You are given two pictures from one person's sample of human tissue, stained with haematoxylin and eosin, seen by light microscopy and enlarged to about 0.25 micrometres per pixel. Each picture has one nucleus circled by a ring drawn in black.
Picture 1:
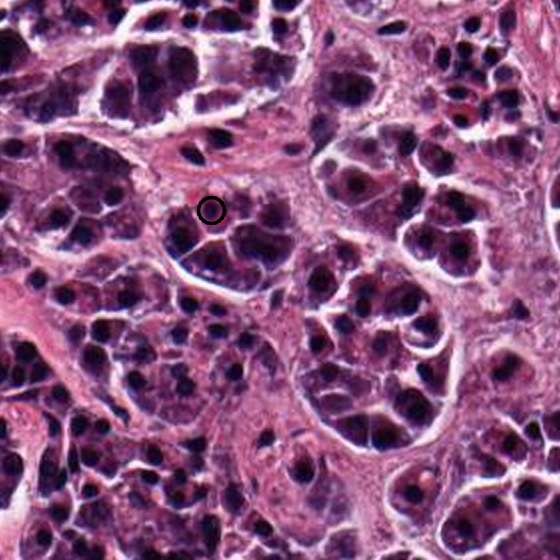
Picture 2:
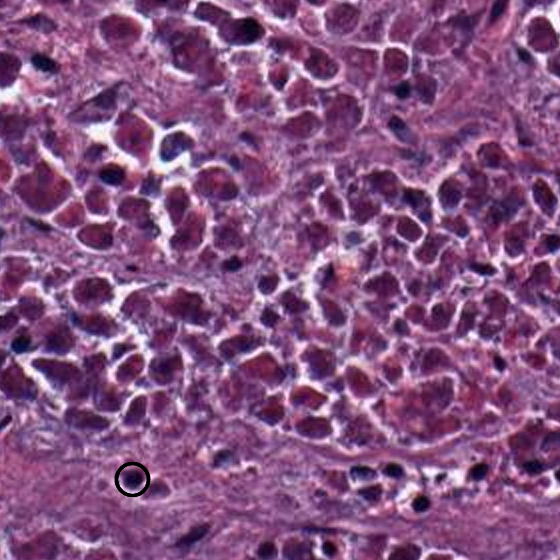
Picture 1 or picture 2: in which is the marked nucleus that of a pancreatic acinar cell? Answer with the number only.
1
